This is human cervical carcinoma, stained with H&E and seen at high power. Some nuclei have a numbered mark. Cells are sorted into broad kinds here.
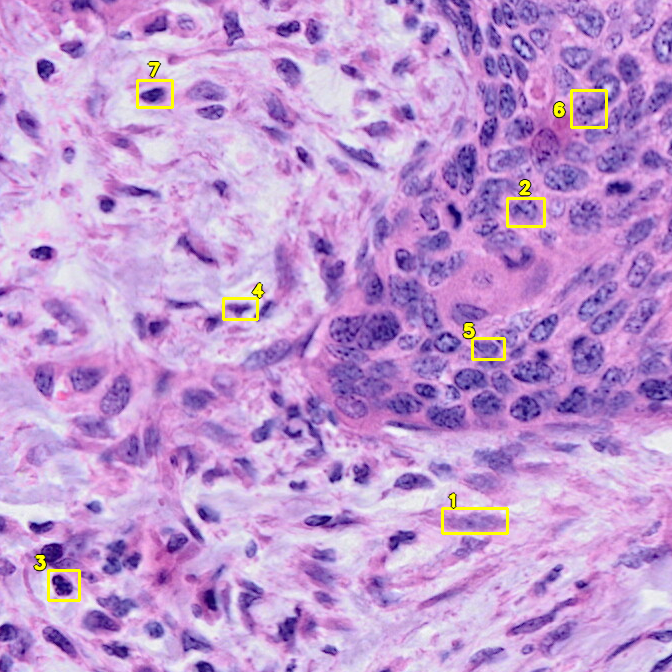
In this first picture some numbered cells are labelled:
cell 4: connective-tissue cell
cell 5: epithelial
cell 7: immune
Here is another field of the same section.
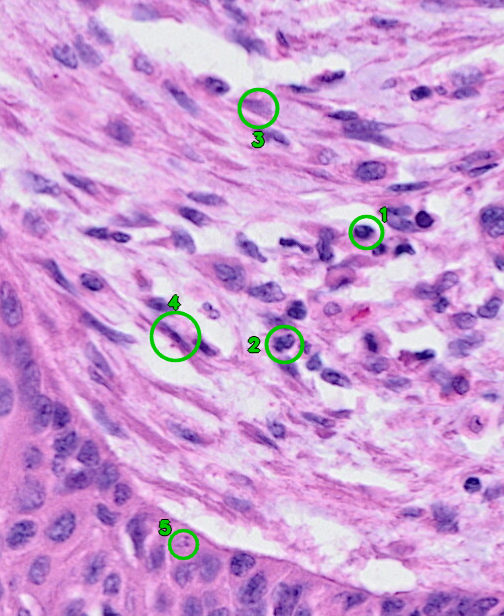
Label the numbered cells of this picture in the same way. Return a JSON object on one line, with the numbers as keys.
{"1": "immune", "2": "immune", "3": "connective-tissue cell", "4": "connective-tissue cell", "5": "epithelial"}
